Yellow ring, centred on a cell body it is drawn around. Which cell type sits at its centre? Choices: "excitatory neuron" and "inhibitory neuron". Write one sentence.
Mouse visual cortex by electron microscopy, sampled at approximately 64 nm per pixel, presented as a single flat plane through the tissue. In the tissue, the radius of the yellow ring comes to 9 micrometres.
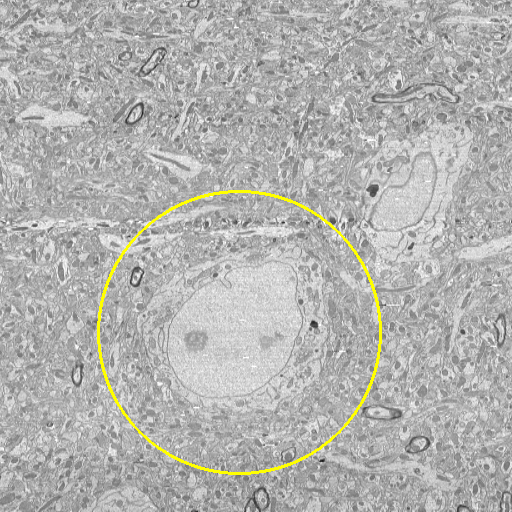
At the centre of the ring sits an excitatory neuron.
